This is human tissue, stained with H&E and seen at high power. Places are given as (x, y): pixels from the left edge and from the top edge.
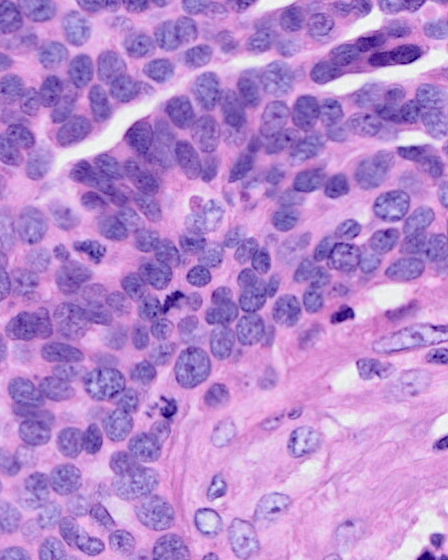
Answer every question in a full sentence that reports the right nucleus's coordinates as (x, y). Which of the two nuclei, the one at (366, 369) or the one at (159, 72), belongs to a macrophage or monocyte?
Of the two nuclei, the one at (366, 369) belongs to a macrophage or monocyte.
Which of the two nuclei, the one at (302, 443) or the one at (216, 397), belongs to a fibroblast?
Belonging to a fibroblast is the nucleus at (302, 443).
